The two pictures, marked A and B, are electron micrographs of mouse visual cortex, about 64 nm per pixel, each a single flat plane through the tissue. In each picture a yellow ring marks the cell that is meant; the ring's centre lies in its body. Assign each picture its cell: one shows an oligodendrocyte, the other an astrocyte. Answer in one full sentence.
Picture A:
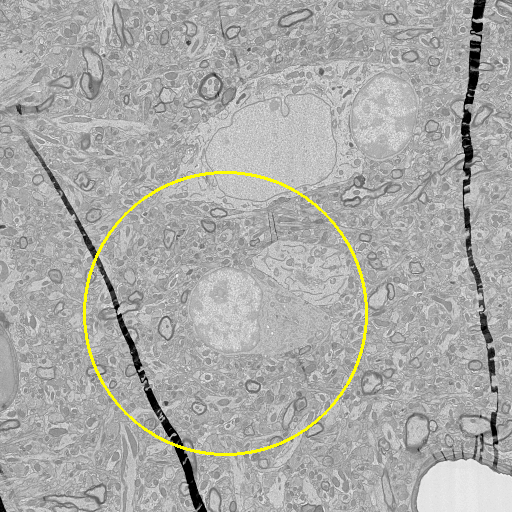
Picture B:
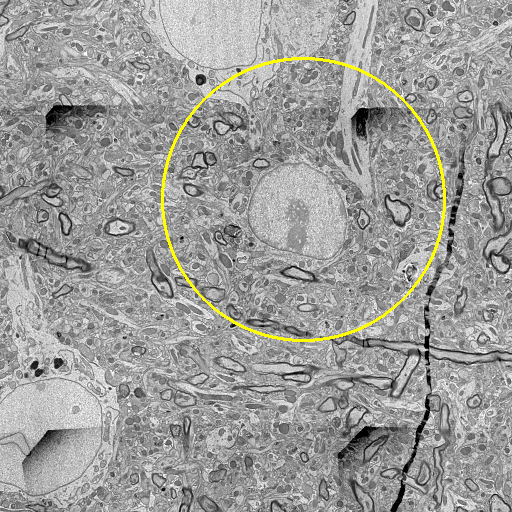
It is picture A that shows an oligodendrocyte, and picture B that shows an astrocyte.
